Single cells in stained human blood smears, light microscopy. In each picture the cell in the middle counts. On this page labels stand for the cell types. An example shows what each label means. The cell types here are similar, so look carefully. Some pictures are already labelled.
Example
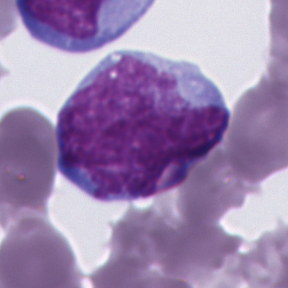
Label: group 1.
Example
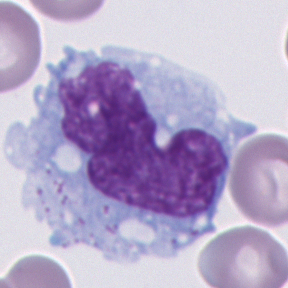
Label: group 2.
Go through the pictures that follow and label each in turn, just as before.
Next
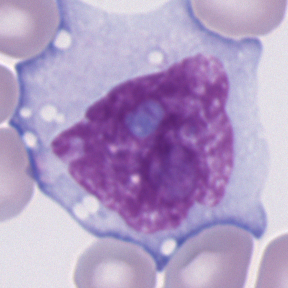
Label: group 1.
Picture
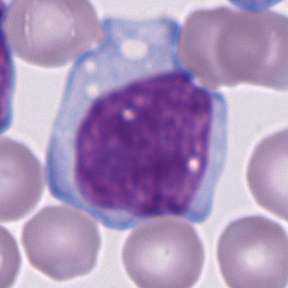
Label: group 1.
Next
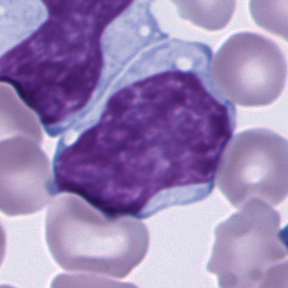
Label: group 1.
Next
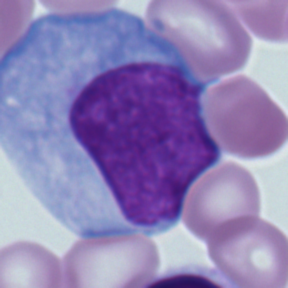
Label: group 1.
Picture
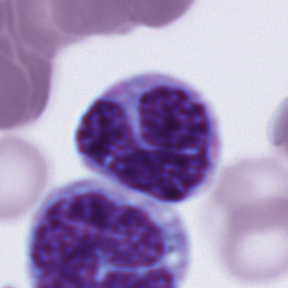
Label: group 2.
